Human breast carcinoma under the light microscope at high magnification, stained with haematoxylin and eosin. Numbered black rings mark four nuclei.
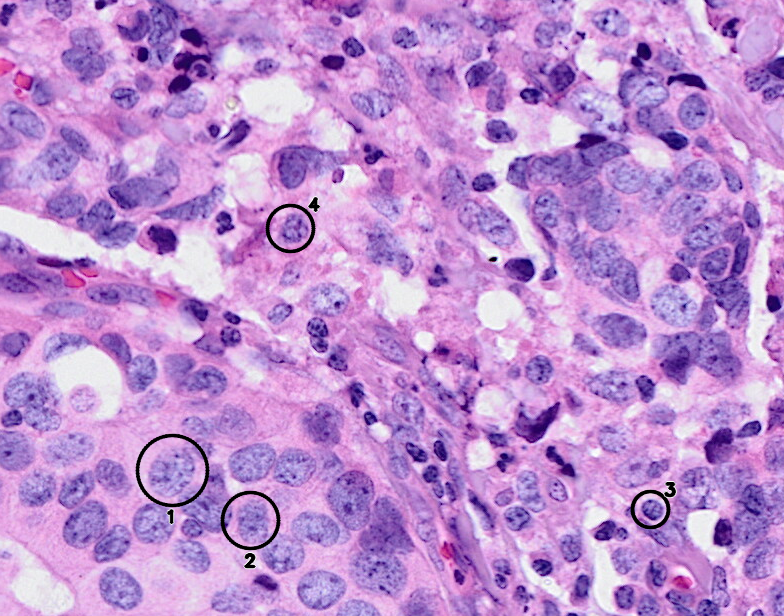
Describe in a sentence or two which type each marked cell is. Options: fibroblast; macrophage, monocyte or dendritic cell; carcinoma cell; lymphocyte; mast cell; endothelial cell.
Cells 1 and 2 are carcinoma cells. Cell 3 is a lymphocyte. Cell 4 is a macrophage, monocyte or dendritic cell.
